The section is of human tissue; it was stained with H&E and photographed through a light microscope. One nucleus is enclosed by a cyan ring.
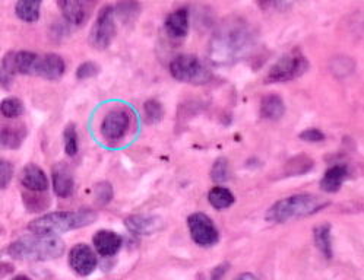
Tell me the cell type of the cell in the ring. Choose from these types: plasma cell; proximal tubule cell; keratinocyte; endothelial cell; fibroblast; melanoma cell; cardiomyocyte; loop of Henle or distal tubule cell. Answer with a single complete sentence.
Labelled by cell type, the cell in the ring is a plasma cell.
